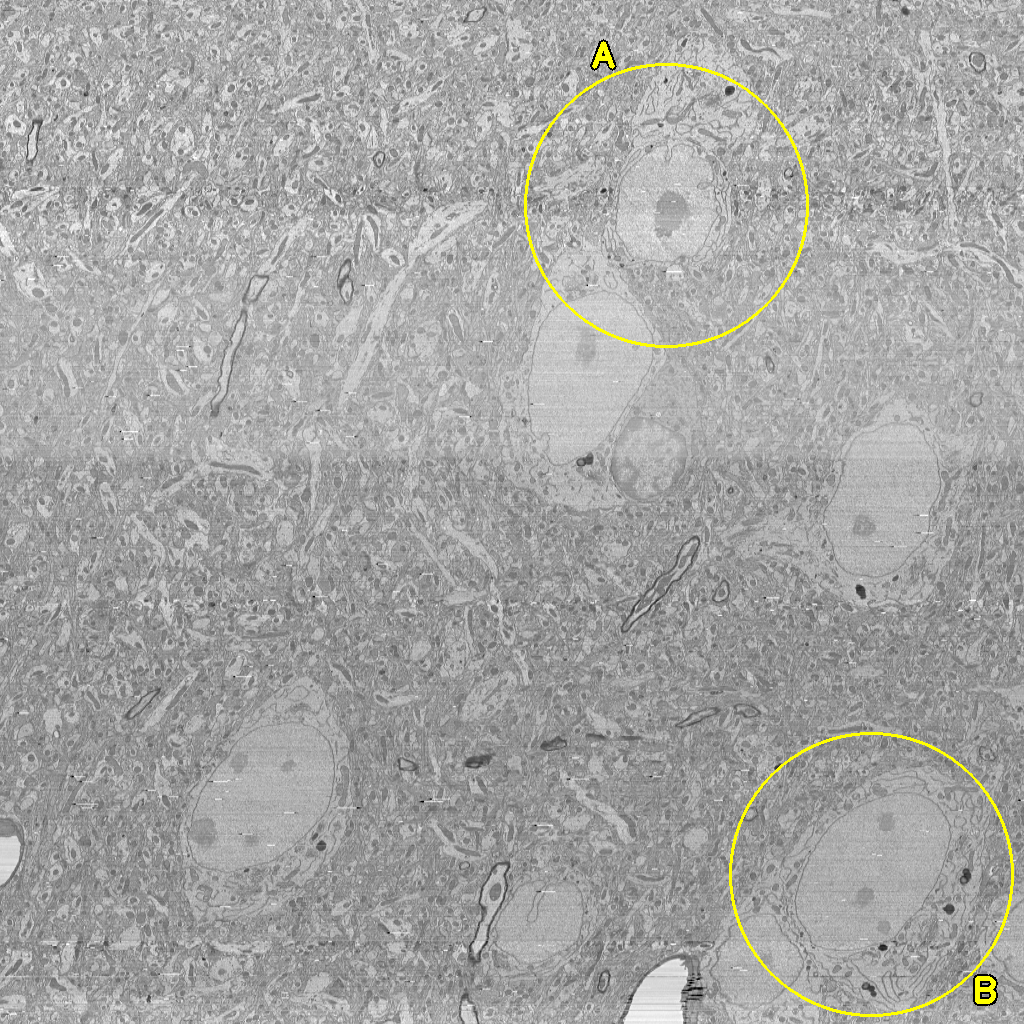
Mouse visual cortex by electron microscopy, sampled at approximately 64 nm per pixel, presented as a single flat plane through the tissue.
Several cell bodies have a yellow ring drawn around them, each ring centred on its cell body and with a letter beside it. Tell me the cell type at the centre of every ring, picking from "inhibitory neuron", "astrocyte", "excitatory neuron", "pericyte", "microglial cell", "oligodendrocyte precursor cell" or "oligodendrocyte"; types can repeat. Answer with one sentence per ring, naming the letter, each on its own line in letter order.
In ring A, the central cell is an inhibitory neuron.
In ring B, the central cell is an excitatory neuron.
